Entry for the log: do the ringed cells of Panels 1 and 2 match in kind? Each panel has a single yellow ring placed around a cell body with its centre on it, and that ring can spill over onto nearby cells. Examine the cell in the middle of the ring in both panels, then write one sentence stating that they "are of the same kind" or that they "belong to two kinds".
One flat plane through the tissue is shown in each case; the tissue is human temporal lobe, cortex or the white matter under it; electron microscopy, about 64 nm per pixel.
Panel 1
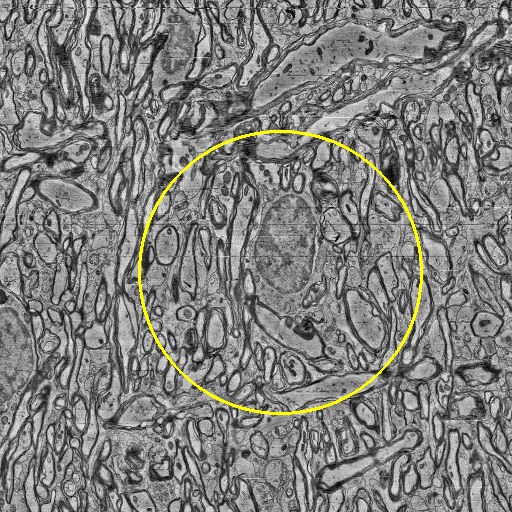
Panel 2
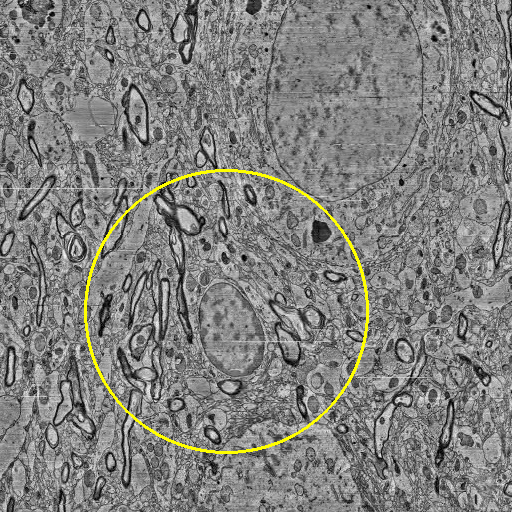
The centre cell of Panel 1's ring and that of Panel 2's ring belong to two kinds.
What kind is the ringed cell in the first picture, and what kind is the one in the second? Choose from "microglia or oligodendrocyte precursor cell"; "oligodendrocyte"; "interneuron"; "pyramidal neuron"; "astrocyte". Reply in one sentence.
The first cell is an oligodendrocyte; the second is a microglial cell or oligodendrocyte precursor cell.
